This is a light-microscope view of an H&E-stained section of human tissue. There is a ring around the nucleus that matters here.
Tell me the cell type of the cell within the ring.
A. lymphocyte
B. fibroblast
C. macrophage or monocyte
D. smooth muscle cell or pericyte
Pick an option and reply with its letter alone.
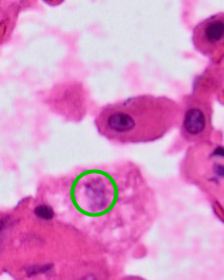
C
